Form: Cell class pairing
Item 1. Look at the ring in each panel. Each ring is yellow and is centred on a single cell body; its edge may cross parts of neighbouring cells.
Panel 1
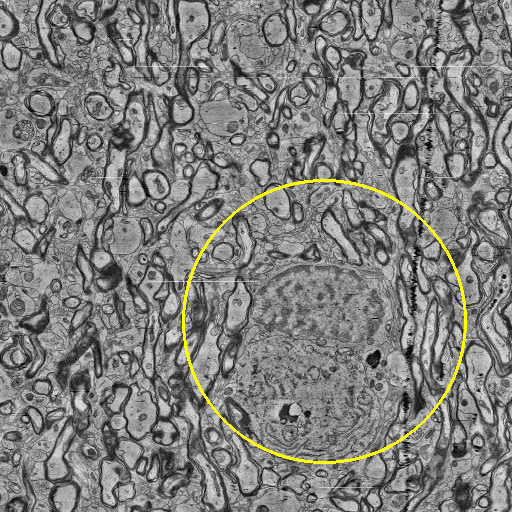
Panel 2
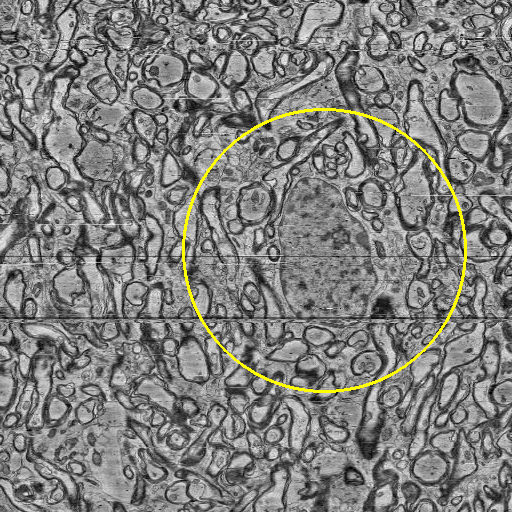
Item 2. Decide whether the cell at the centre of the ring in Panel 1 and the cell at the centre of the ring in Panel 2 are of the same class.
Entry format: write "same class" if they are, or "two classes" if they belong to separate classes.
two classes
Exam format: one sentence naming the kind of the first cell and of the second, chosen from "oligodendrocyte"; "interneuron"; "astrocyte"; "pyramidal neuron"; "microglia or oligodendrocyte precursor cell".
The first picture's cell is an oligodendrocyte, and the second picture's cell is a microglial cell or oligodendrocyte precursor cell.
